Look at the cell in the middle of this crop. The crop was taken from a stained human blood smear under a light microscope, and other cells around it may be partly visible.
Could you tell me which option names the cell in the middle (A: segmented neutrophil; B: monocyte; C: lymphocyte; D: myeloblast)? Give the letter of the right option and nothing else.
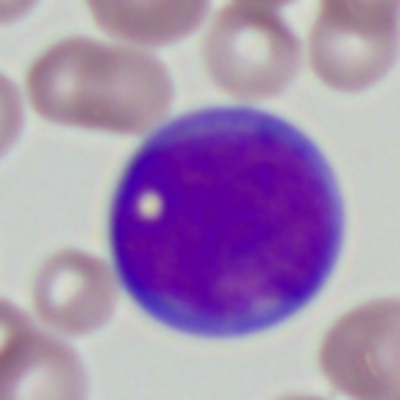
D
